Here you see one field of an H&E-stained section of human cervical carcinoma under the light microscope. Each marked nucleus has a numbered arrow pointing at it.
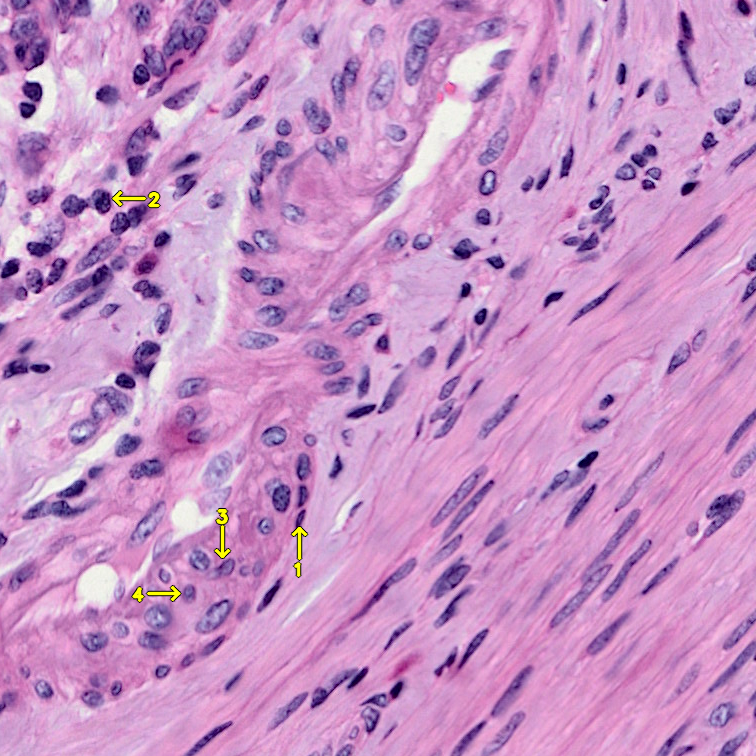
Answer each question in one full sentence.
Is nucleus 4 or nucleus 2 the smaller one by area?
It is nucleus 4; nucleus 2 has about 2 times its area.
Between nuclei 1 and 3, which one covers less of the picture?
It is nucleus 1; nucleus 3 has about 2 times its area.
